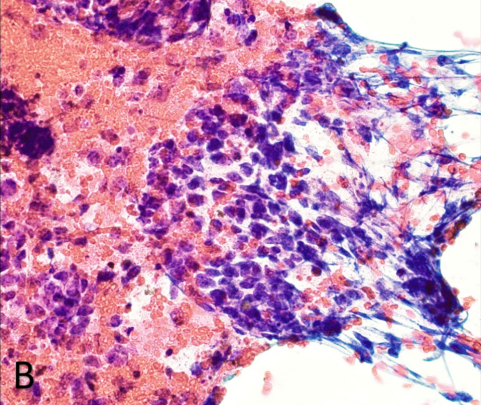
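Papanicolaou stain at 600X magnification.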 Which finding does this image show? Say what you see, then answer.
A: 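Nuclear fragility. At the right the nuclear material is drawn out into blue streaks and strands. Stretched, smeared nuclei lie beside intact cells of the cluster.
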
